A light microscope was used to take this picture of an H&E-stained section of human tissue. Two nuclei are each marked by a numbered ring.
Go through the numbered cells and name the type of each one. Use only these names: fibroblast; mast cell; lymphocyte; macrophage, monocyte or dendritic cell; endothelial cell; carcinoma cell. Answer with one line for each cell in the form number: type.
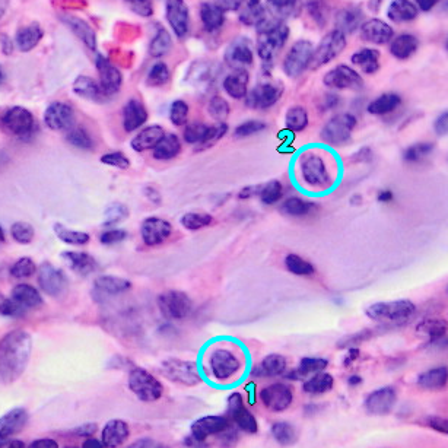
1: lymphocyte
2: mast cell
